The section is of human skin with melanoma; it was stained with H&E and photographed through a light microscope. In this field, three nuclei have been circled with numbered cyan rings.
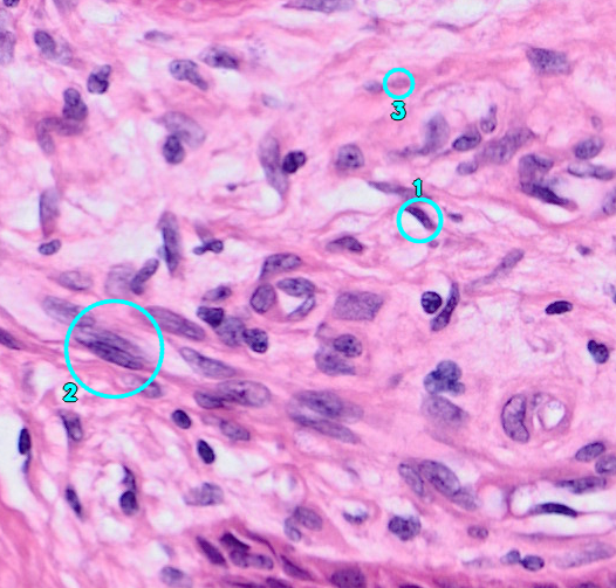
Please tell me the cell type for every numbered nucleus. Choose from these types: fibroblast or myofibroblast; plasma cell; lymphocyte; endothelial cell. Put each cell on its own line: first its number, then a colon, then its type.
1: fibroblast or myofibroblast
2: endothelial cell
3: fibroblast or myofibroblast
